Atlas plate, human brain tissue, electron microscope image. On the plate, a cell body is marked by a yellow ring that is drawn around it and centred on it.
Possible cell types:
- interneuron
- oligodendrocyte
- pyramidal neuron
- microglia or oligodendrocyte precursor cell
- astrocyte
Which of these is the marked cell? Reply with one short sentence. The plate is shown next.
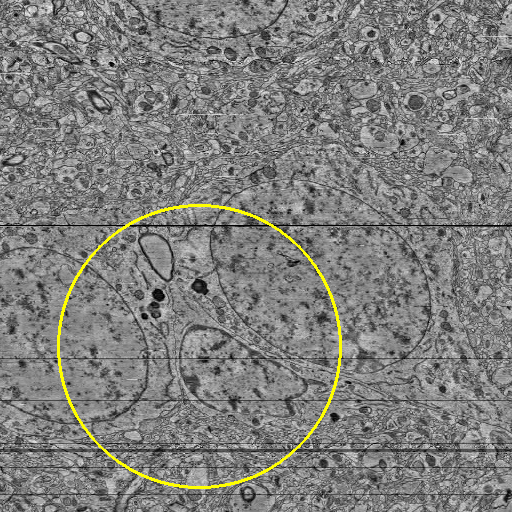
The marked cell is a microglial cell or oligodendrocyte precursor cell.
